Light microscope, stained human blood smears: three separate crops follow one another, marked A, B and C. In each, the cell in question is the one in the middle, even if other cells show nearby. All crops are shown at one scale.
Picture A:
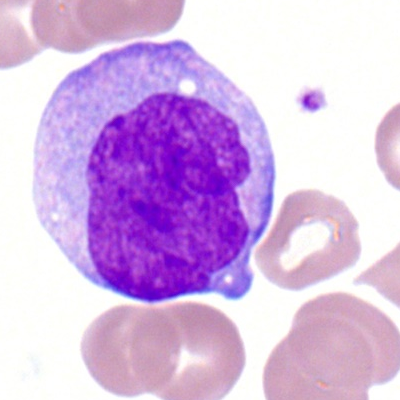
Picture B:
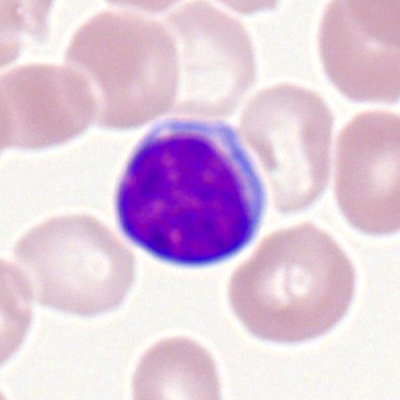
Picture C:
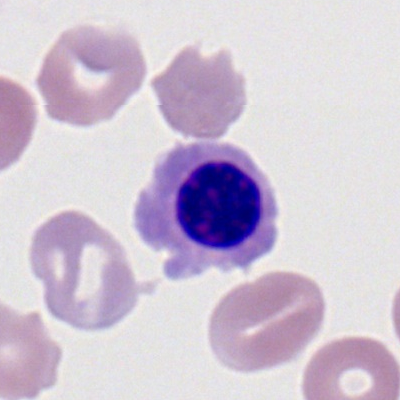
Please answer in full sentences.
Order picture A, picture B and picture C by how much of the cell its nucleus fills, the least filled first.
The least filled comes first: C, A, B.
